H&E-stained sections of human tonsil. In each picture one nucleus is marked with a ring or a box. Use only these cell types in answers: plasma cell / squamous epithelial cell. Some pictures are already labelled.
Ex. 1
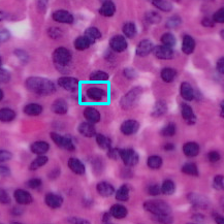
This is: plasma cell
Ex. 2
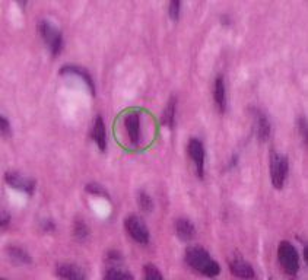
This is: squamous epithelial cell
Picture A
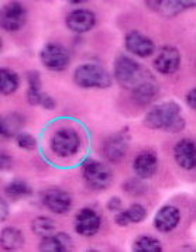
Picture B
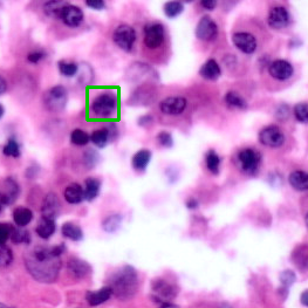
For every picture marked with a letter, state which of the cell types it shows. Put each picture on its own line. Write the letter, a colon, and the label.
A: plasma cell
B: plasma cell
